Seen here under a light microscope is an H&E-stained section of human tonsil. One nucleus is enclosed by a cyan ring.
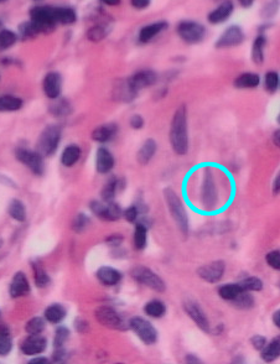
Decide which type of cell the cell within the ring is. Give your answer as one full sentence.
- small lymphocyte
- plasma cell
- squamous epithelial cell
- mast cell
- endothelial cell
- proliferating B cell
As for its identity, the cell within the ring is an endothelial cell.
